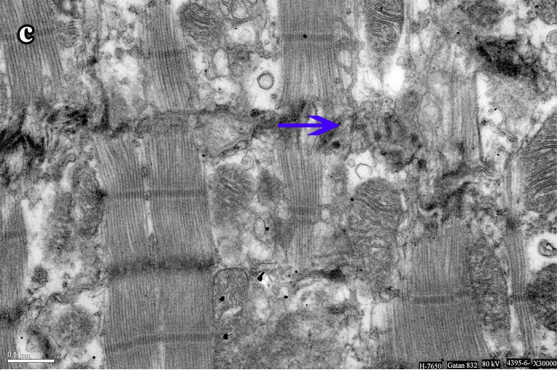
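Cardiac muscle in which the myofibril bundles are interrupted and irregular. A dense, ragged transverse band crosses the field where fiber ends meet, its outline frayed and broken. The regular banded arrangement is lost in places.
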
